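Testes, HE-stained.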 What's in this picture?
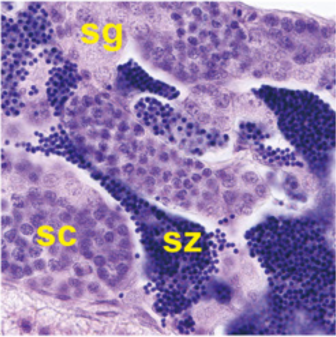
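High-magnification view of testis tissue with cysts of germ cells separated by narrow lumens. Cysts of larger cells with pale nuclei lie beside cysts of smaller cells with darker round nuclei. Streams and clumps of tiny, intensely dark purple sperm heads fill the spaces between the cysts.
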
